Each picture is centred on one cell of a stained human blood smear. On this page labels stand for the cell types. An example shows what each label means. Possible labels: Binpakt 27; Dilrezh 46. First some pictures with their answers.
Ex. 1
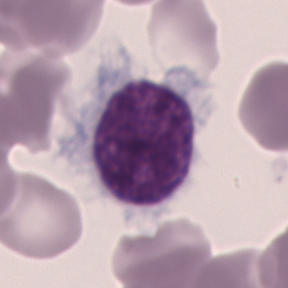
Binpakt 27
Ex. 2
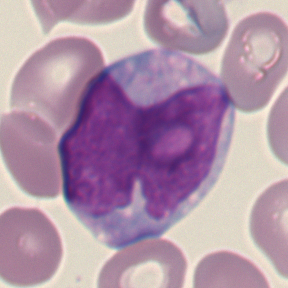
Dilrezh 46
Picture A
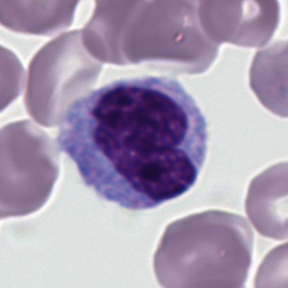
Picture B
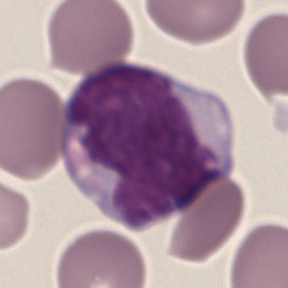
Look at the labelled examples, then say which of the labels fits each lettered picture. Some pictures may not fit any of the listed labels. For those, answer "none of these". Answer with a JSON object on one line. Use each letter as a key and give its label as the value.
{"A": "none of these", "B": "Dilrezh 46"}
